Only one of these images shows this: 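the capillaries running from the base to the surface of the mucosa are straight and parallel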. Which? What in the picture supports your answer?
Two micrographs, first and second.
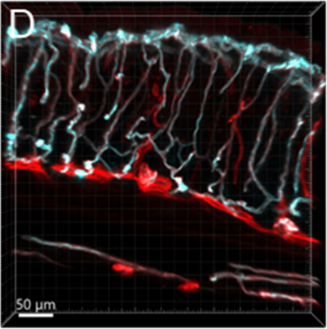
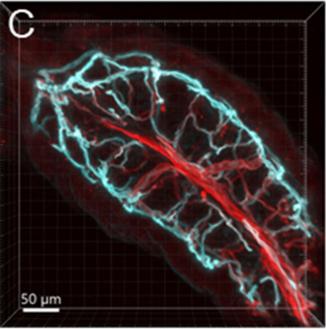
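First image: many thin vessels run straight and parallel between the surface network and the deeper vessels. Second image: the vessels between surface and base are curved and branch irregularly.
Conclusion: the first image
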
